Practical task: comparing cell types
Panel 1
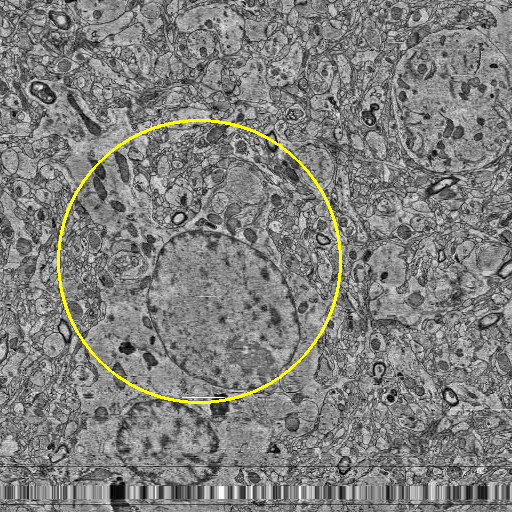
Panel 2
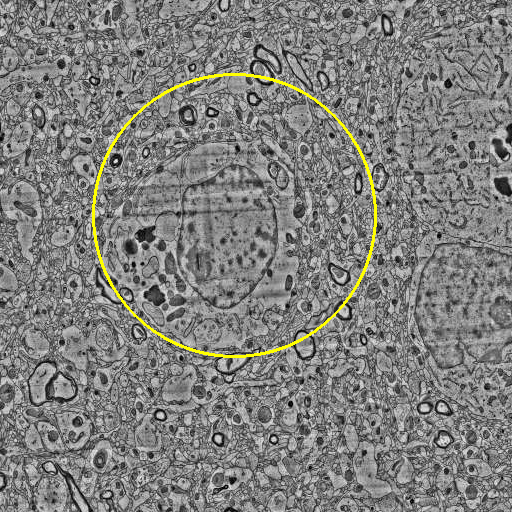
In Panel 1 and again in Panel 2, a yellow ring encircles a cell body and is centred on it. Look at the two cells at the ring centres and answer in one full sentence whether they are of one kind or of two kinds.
The two cells sitting at the ring centres of Panels 1 and 2 are of one kind.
